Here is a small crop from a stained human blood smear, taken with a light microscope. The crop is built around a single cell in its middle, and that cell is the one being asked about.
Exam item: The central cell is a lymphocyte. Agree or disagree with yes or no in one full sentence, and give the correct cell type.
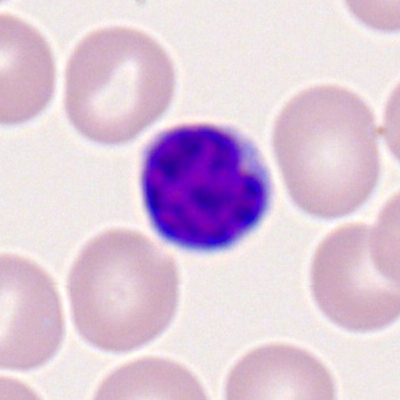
Yes, the cell centred in the field of view is a lymphocyte.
